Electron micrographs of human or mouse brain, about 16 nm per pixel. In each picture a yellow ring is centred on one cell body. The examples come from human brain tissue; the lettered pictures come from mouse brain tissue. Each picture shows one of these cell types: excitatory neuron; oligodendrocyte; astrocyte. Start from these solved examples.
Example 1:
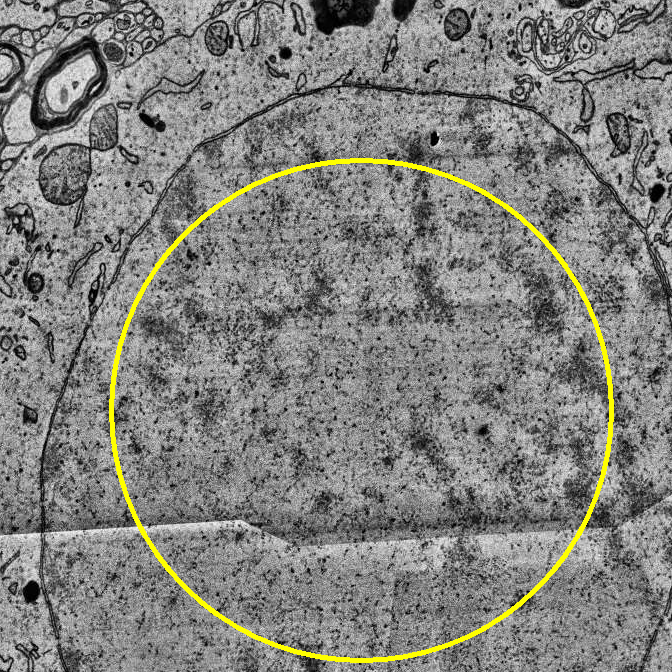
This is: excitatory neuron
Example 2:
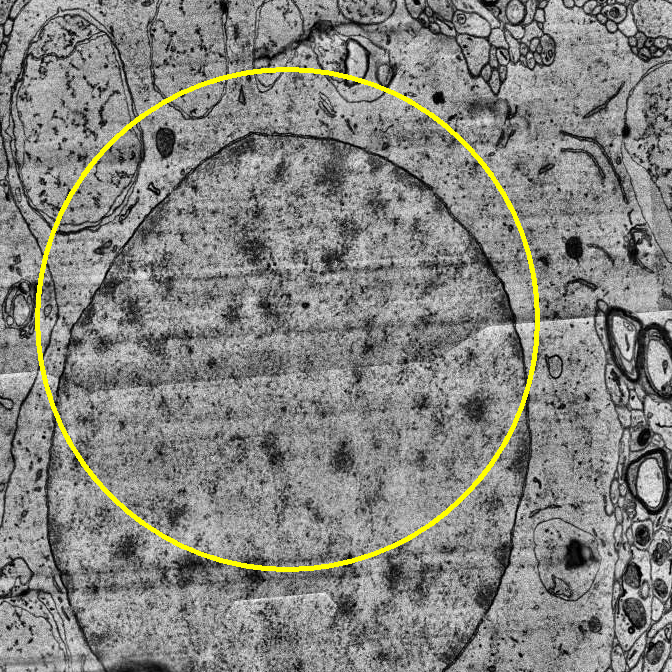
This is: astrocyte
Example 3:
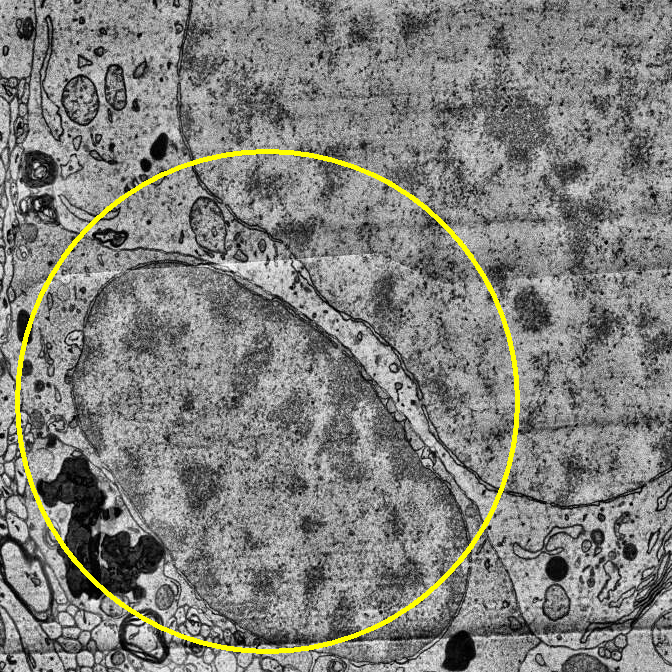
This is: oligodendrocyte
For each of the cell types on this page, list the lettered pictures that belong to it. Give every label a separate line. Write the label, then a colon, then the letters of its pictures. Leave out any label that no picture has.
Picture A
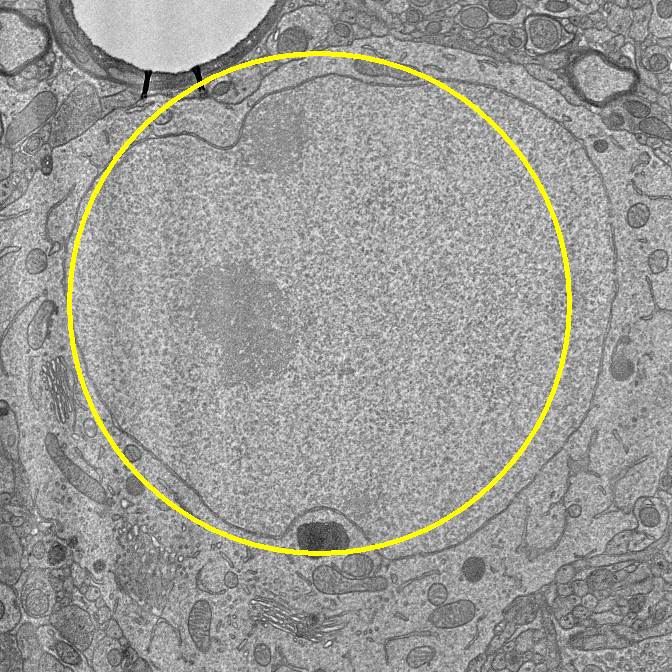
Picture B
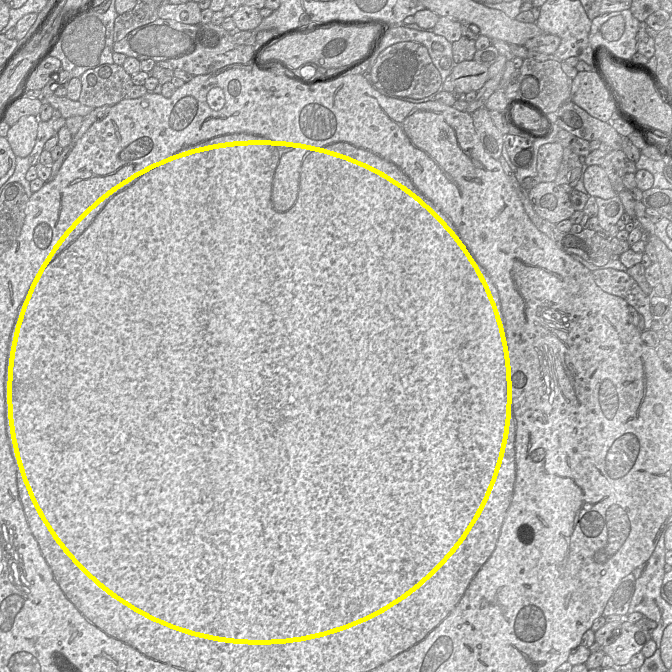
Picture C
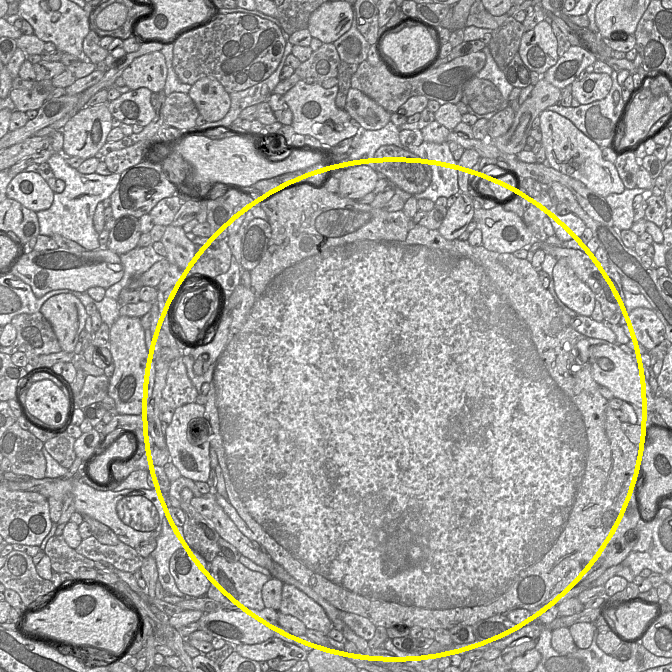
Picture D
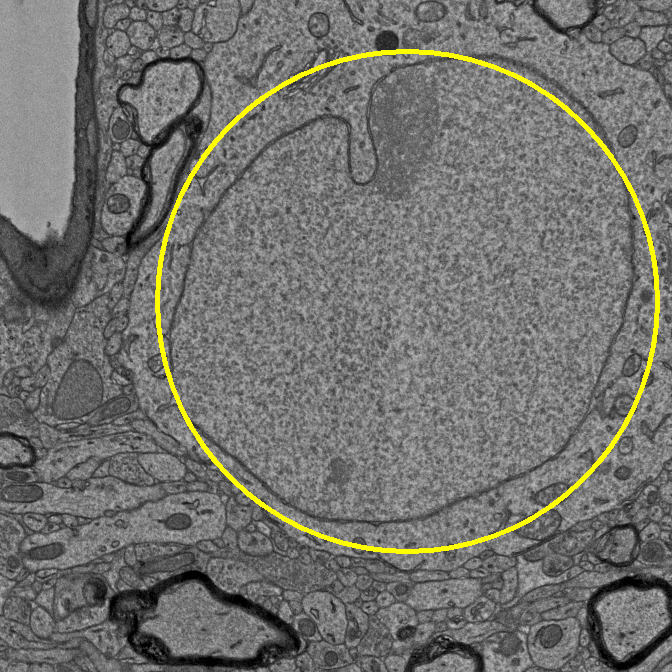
excitatory neuron: A, B, D
oligodendrocyte: C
